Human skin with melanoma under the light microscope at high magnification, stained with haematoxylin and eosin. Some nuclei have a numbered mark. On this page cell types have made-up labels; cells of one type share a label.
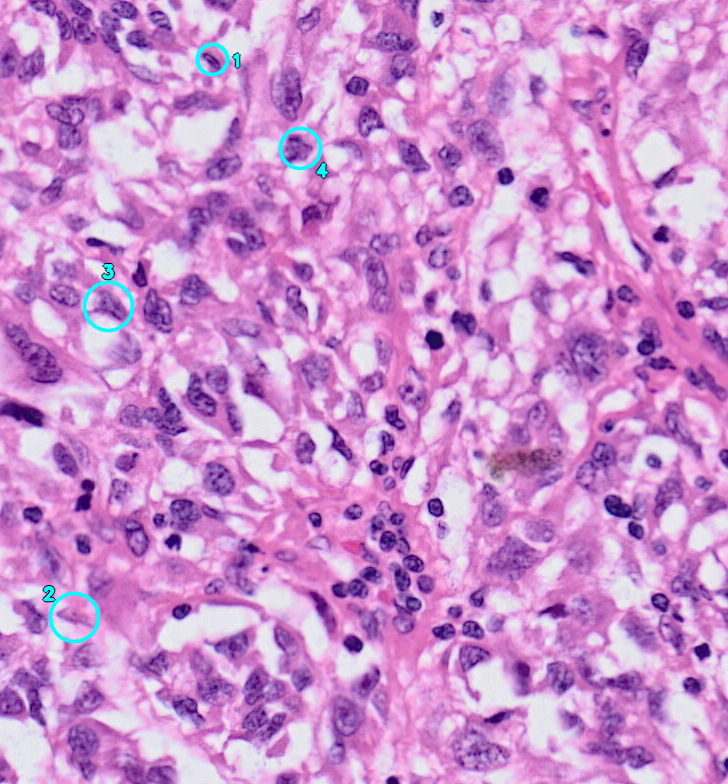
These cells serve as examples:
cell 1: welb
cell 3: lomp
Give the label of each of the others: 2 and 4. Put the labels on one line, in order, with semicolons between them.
lomp; lomp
